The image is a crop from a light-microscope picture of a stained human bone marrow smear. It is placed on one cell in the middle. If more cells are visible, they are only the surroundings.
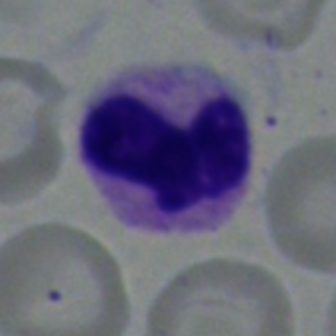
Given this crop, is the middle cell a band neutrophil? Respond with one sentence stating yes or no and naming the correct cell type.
Yes, the middle cell in this crop is a band neutrophil.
